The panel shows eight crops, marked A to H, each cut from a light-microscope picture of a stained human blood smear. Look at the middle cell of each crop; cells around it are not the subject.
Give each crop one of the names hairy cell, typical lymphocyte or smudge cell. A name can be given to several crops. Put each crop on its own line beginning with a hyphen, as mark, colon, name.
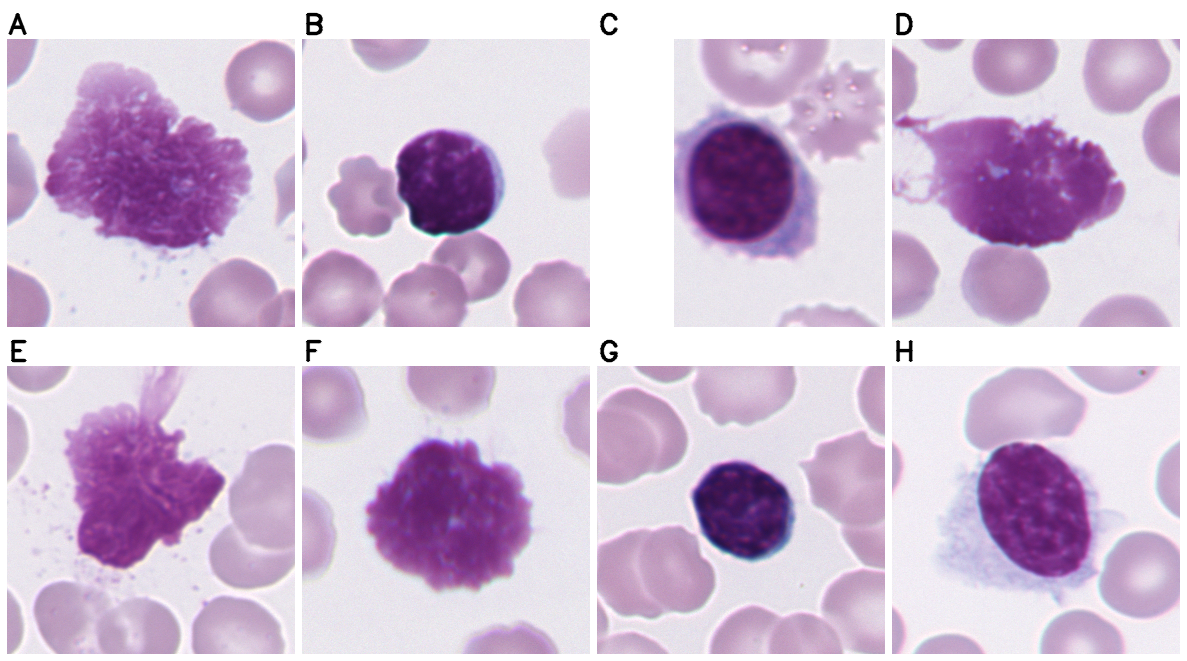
- A: smudge cell
- B: typical lymphocyte
- C: hairy cell
- D: smudge cell
- E: smudge cell
- F: smudge cell
- G: typical lymphocyte
- H: hairy cell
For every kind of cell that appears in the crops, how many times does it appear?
smudge cell: 4
typical lymphocyte: 2
hairy cell: 2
